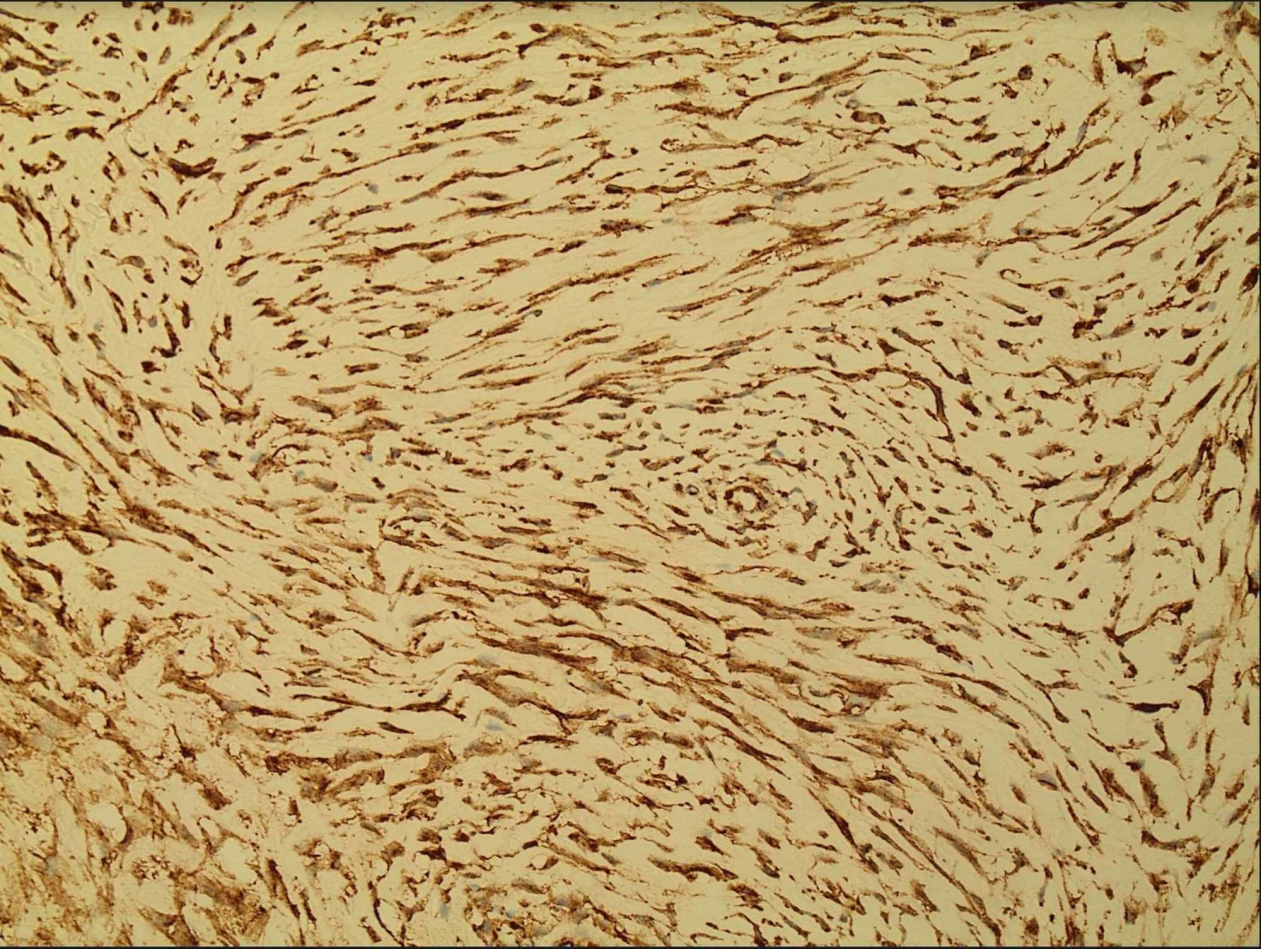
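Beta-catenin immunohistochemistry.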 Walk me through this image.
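This is a lesion of slender spindle-shaped fibroblasts arranged in long, sweeping and gently curving fascicles within a pale collagenous stroma. A small round vessel lies near the centre among the streaming cells.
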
